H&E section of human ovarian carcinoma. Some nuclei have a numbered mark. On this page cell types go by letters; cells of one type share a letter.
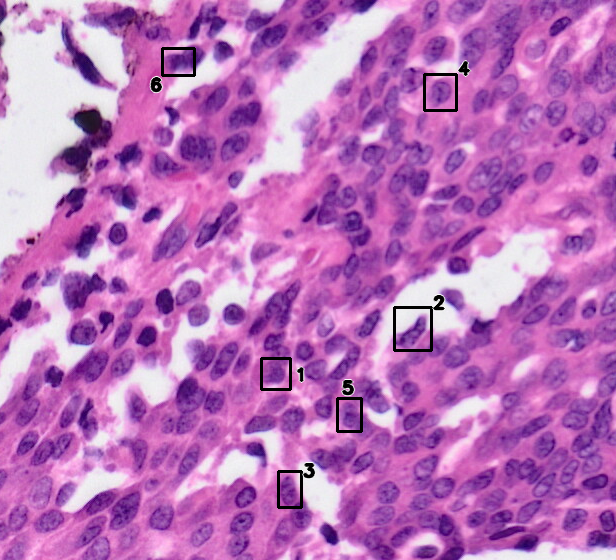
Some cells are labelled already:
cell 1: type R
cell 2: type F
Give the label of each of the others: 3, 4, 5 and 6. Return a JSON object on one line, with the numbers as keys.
{"3": "type R", "4": "type F", "5": "type R", "6": "type R"}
